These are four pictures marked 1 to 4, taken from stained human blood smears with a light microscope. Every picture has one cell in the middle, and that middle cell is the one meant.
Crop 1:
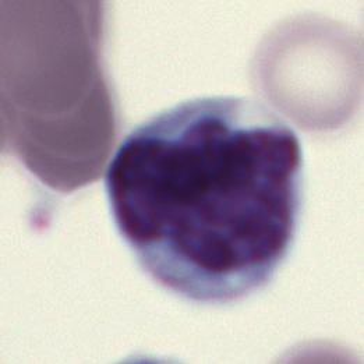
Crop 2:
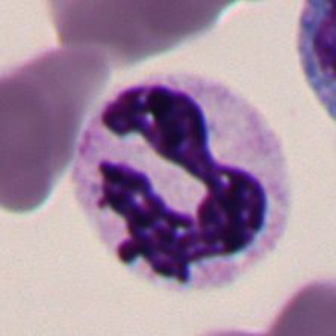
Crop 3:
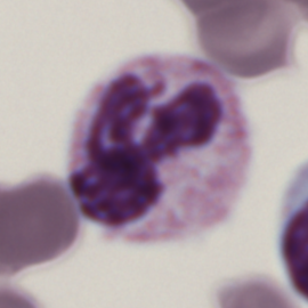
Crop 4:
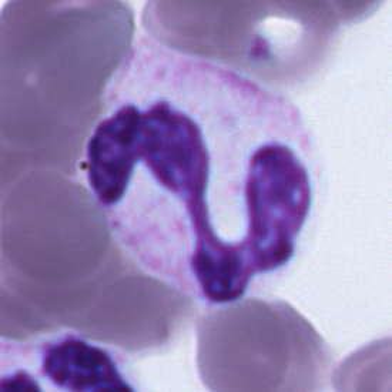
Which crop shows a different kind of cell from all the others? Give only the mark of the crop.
1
